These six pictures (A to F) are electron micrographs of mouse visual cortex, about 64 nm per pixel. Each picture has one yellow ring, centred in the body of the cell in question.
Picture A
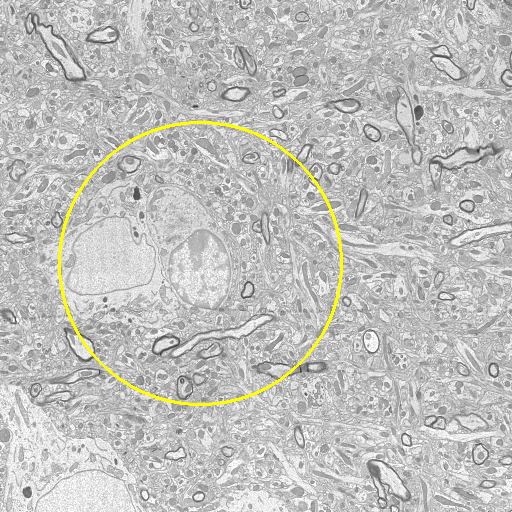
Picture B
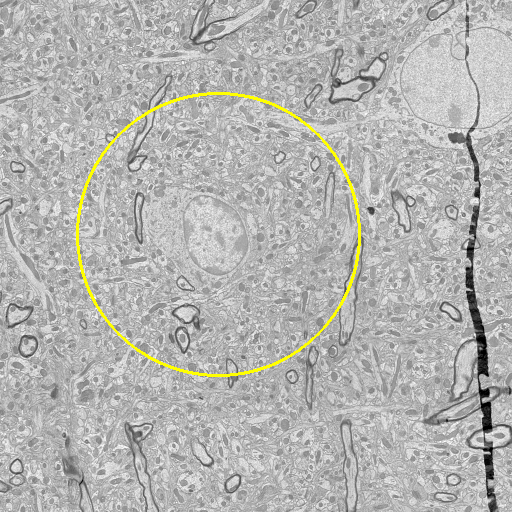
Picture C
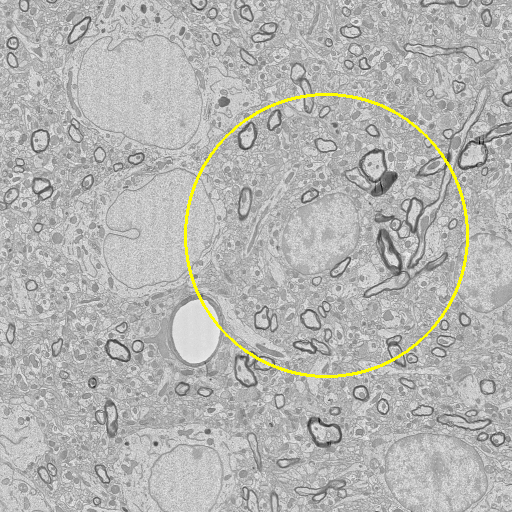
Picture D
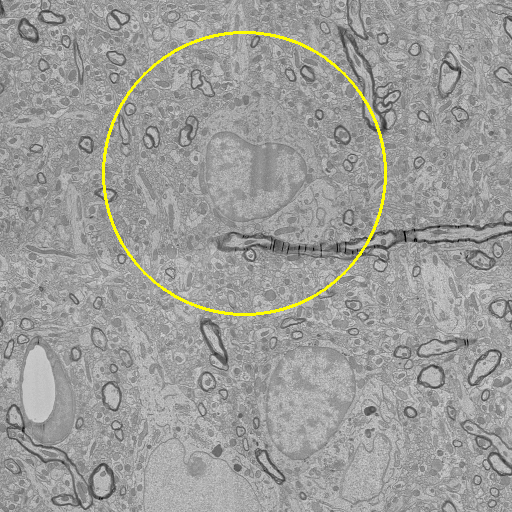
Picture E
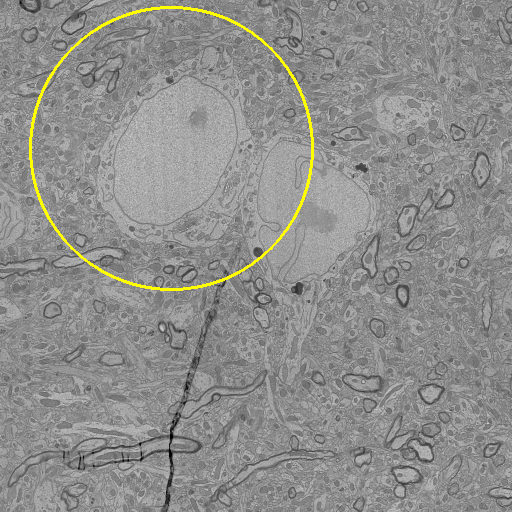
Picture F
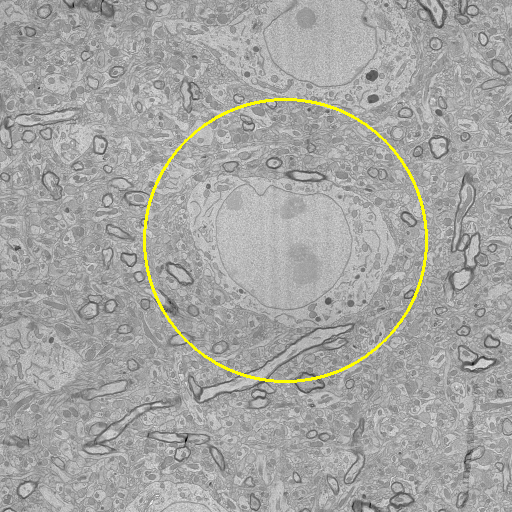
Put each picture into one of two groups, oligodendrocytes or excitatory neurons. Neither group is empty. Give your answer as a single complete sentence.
Pictures A, B, C and D show oligodendrocytes, while pictures E and F show excitatory neurons.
